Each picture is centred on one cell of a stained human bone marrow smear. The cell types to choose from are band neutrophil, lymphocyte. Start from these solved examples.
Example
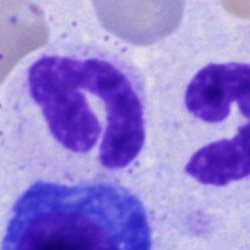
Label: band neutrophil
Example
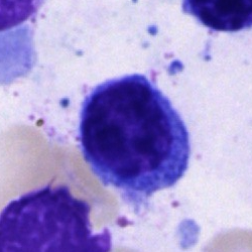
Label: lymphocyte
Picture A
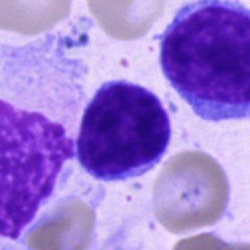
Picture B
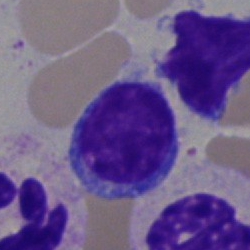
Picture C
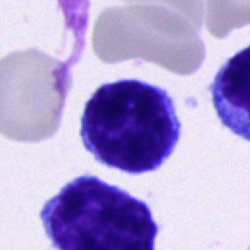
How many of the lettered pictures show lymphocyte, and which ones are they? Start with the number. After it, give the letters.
Count: 3 (A, B, C)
